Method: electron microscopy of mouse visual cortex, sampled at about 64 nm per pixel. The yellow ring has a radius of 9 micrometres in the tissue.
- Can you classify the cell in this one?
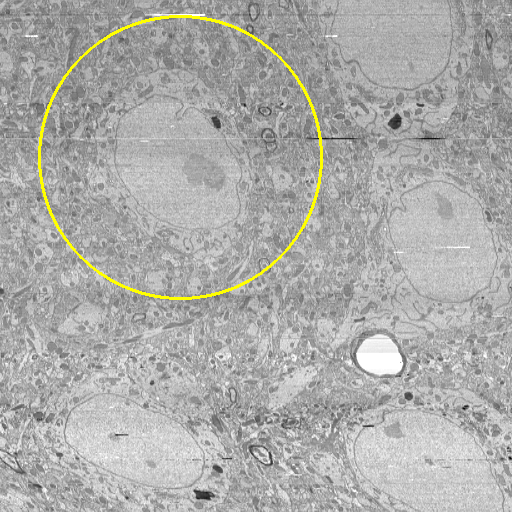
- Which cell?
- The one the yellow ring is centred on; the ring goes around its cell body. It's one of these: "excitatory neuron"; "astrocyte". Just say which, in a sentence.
The cell body in the ring belongs to an excitatory neuron.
